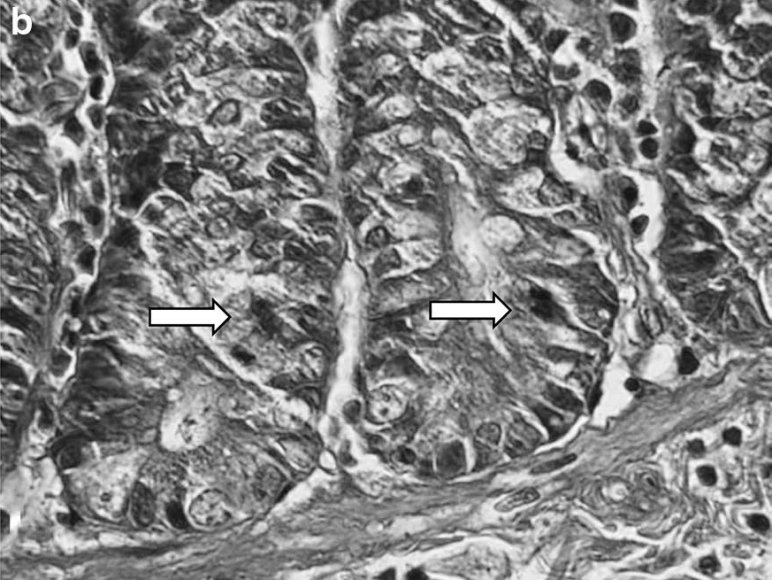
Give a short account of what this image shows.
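Intestinal crypts cut lengthwise, lined by columnar epithelial cells with oval nuclei, separated by narrow strands of connective tissue. A few epithelial cells show dark, compact chromatin of dividing cells. Loose connective tissue with small round nuclei lies beneath the crypt bases.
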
